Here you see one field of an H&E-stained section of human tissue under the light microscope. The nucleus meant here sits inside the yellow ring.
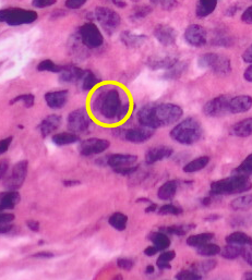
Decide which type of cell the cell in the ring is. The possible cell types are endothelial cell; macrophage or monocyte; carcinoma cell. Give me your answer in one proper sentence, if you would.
The cell type of the cell in the ring is that of a carcinoma cell.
